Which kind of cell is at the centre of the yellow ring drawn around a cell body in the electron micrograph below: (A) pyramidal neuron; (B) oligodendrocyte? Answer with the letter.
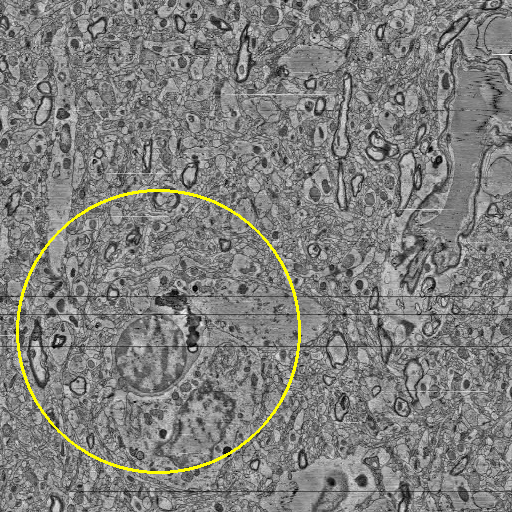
B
